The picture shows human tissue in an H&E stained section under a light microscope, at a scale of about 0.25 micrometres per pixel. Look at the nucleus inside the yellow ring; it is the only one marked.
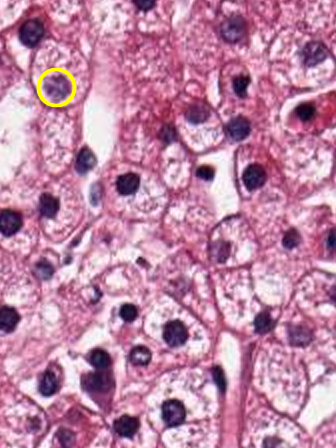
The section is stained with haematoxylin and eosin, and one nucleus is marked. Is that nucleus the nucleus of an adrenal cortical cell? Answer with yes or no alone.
yes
